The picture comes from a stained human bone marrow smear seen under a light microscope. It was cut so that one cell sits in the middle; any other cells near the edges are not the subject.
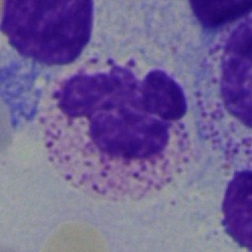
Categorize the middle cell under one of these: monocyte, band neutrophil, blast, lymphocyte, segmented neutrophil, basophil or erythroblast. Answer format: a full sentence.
Regarding the central cell, it is a basophil.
